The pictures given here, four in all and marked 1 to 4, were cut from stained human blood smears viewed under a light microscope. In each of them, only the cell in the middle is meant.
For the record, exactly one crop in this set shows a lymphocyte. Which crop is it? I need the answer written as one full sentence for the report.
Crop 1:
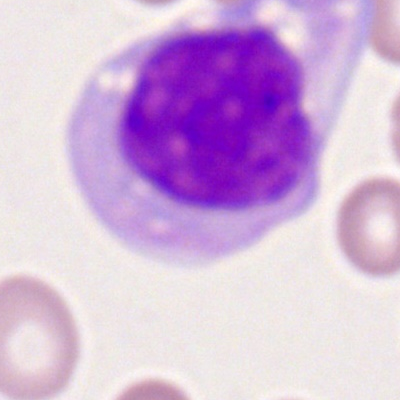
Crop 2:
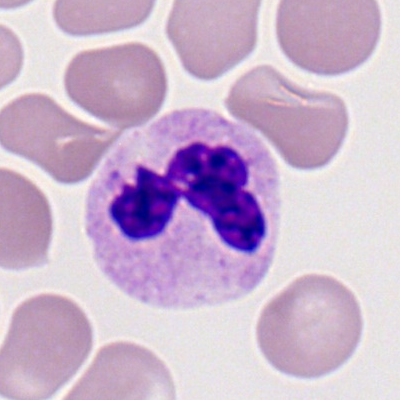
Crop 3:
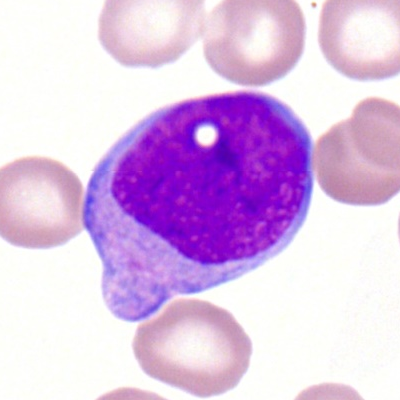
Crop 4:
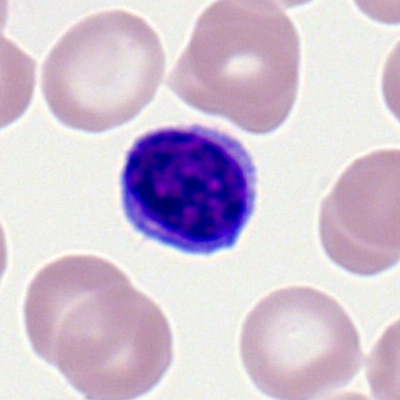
Crop 4 is the crop in which a lymphocyte is shown.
